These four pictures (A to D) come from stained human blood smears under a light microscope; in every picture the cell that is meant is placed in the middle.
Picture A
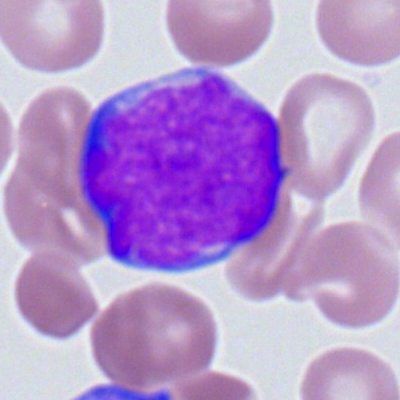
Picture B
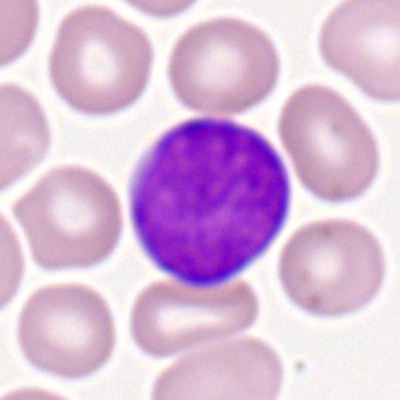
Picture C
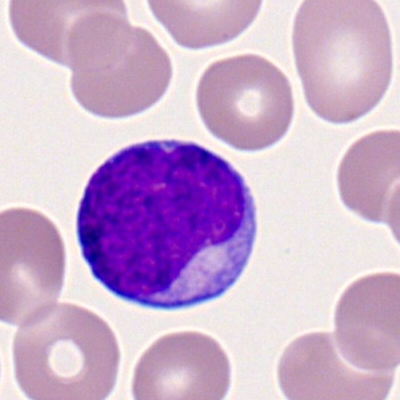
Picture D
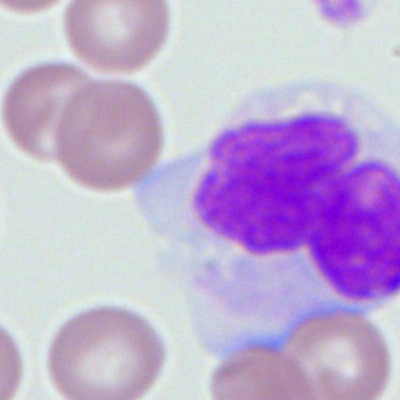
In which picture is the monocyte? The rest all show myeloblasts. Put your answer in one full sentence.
The picture with the monocyte is D.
